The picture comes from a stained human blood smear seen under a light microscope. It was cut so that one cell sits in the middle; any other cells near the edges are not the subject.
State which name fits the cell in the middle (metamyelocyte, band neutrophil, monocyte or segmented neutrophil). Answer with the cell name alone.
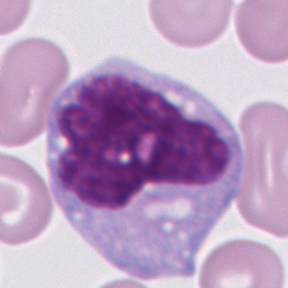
monocyte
